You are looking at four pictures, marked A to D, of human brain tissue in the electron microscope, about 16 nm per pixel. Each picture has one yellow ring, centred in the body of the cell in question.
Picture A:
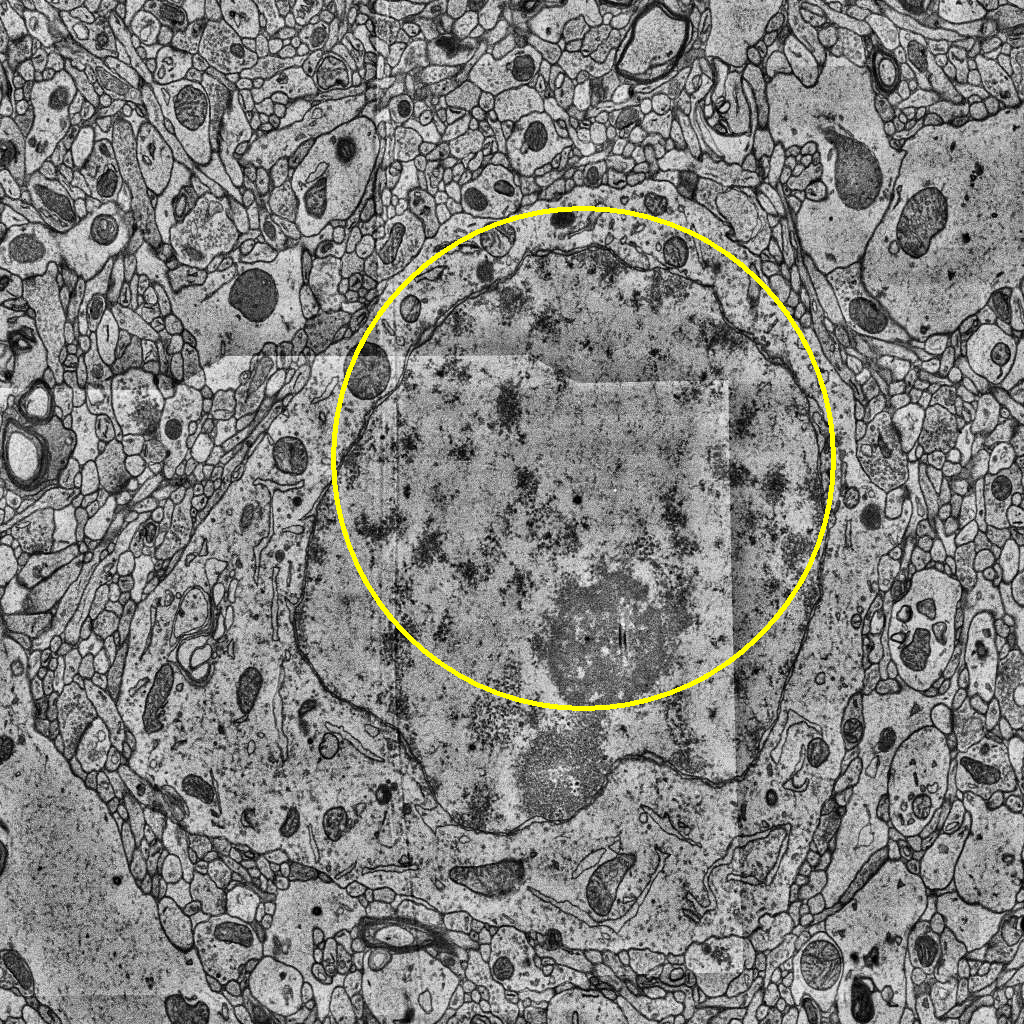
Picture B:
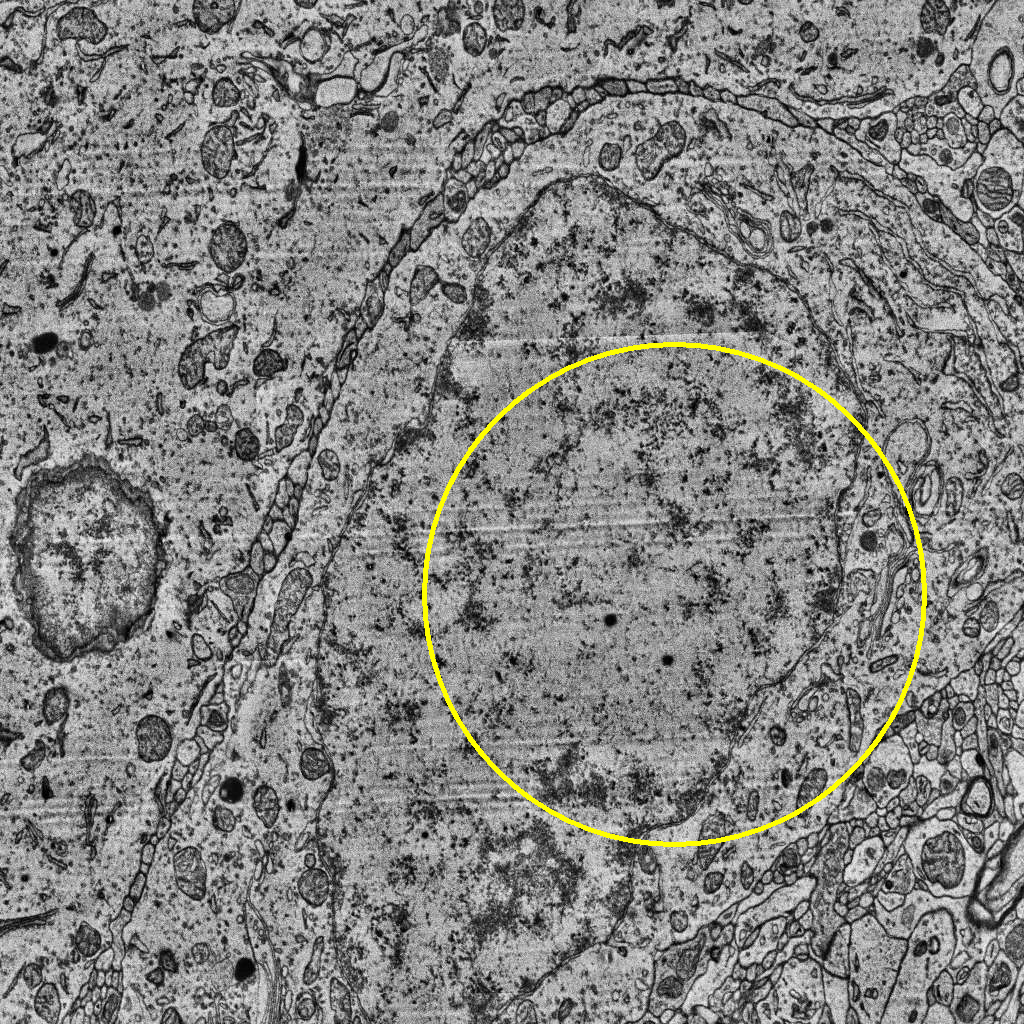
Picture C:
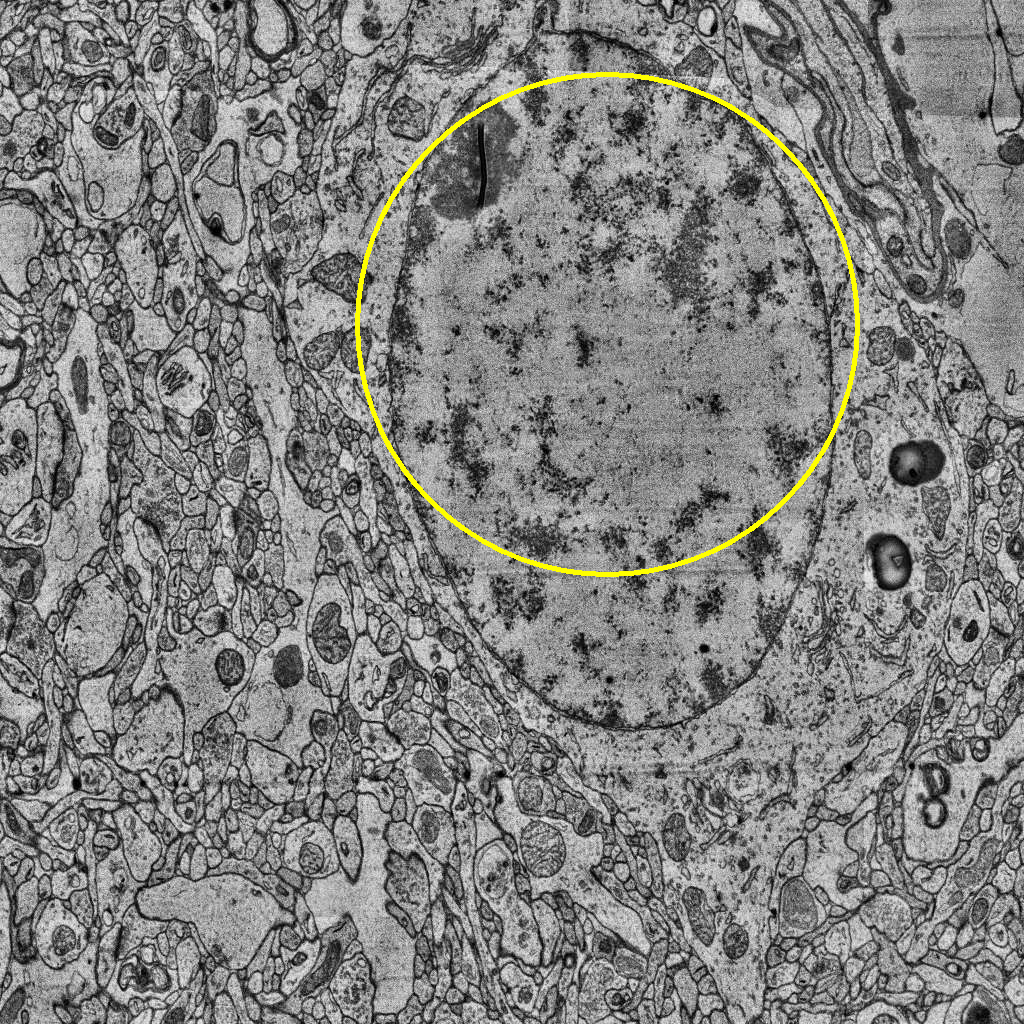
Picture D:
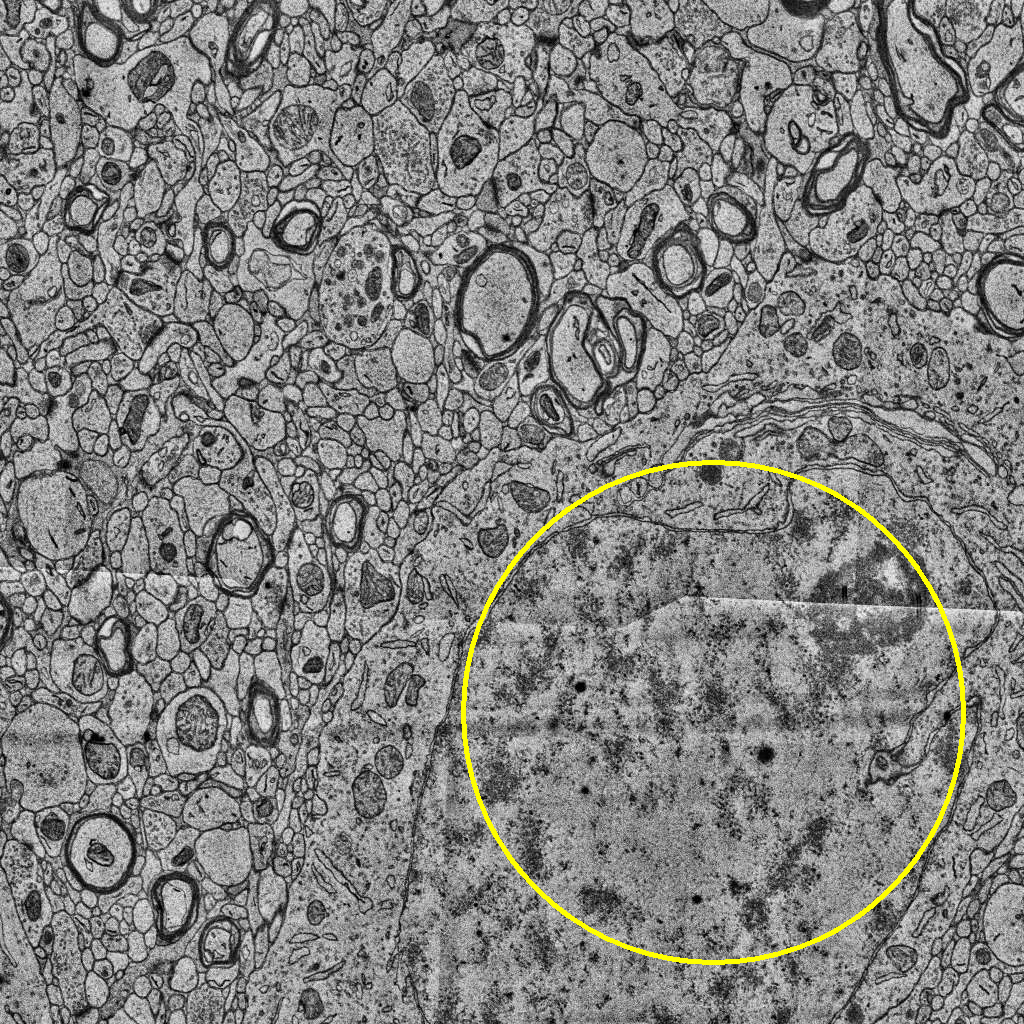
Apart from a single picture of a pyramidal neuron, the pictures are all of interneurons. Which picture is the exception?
It is picture C that shows the pyramidal neuron.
